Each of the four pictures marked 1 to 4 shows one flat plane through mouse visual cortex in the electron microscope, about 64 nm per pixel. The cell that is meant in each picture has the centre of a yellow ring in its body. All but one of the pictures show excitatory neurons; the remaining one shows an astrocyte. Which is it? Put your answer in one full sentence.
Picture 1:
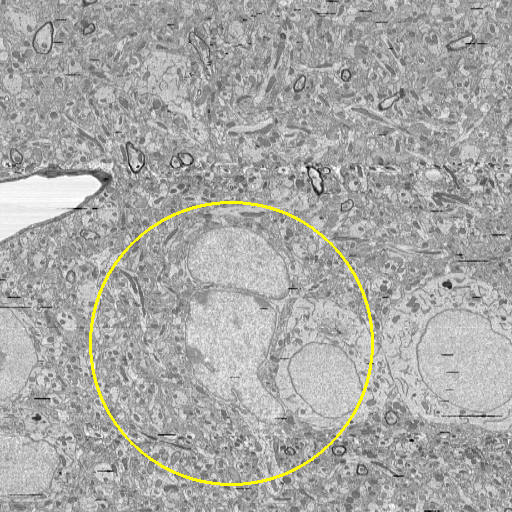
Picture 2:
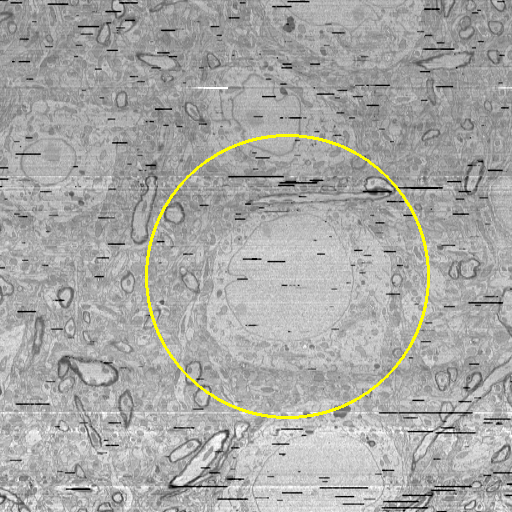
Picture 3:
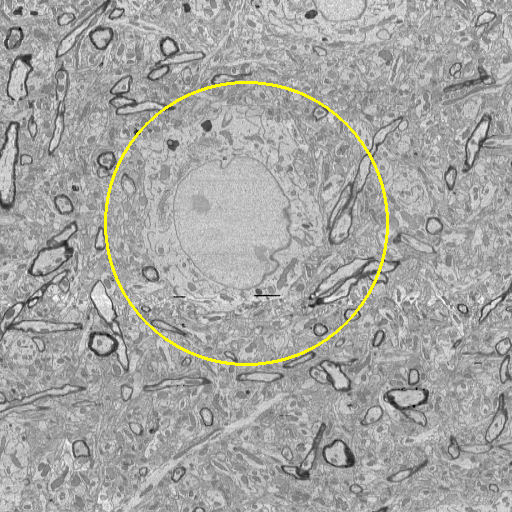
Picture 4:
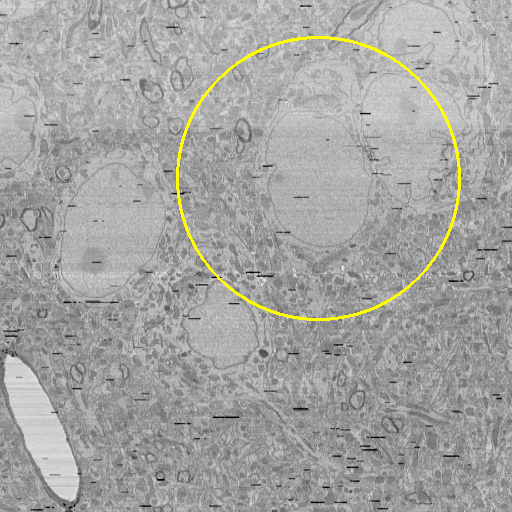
It is picture 1 that shows the astrocyte.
